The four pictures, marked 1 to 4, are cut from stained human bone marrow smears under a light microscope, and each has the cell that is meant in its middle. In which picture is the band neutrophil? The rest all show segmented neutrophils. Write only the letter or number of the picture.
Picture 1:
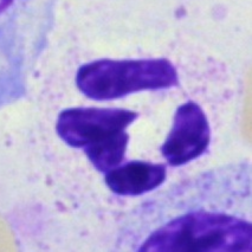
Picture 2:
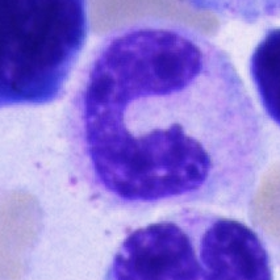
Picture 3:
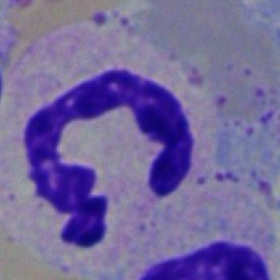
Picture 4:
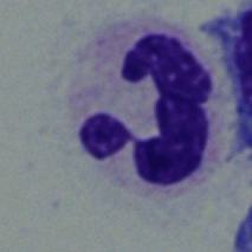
2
